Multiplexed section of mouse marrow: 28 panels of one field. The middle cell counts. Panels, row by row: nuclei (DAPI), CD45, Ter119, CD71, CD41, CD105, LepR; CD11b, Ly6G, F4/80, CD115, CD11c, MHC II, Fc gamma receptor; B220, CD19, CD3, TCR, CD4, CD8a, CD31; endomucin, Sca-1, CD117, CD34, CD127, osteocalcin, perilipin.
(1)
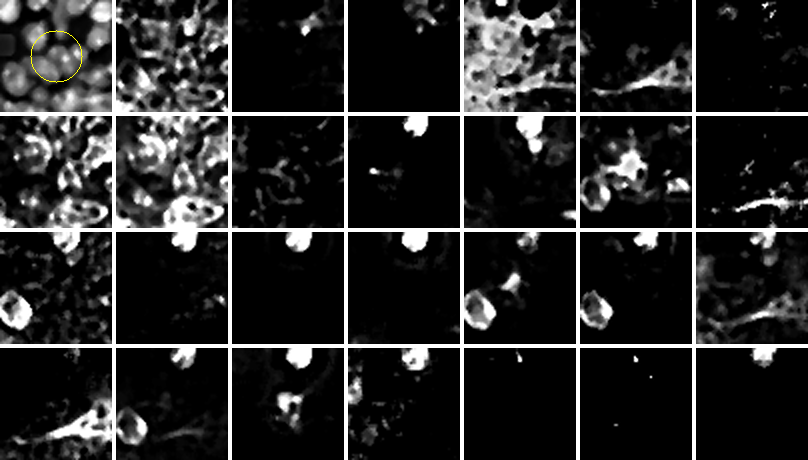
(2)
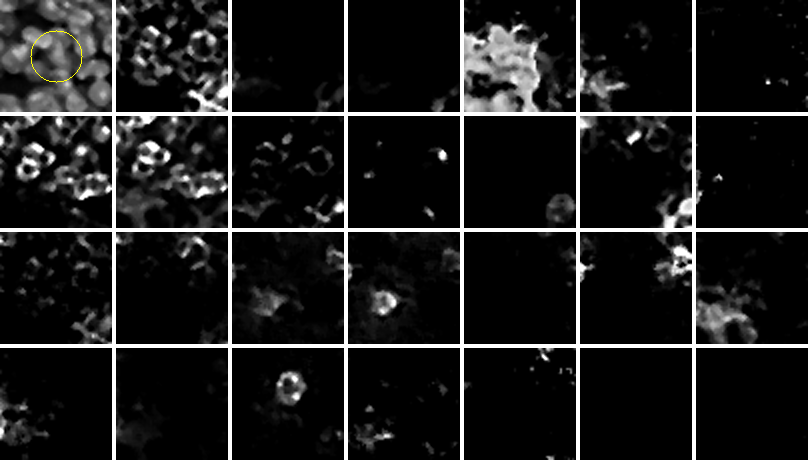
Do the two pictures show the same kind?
No: a megakaryocyte progenitor, then a neutrophil.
